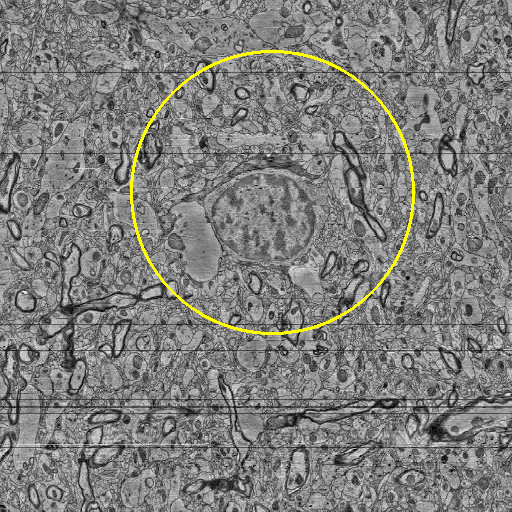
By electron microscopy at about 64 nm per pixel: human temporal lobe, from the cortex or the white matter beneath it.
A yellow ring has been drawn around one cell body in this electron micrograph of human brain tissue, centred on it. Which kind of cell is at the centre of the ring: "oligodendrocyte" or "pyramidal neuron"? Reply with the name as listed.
oligodendrocyte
